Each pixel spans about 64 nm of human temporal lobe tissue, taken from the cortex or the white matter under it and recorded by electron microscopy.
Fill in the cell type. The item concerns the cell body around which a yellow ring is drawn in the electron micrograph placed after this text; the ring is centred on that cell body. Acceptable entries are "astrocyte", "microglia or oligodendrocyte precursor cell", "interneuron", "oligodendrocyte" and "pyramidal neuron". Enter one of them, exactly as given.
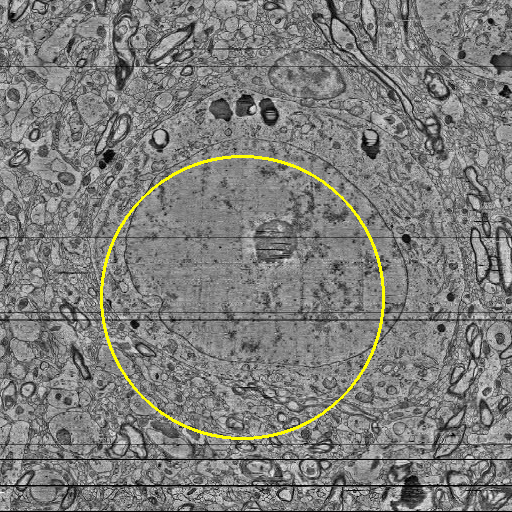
pyramidal neuron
